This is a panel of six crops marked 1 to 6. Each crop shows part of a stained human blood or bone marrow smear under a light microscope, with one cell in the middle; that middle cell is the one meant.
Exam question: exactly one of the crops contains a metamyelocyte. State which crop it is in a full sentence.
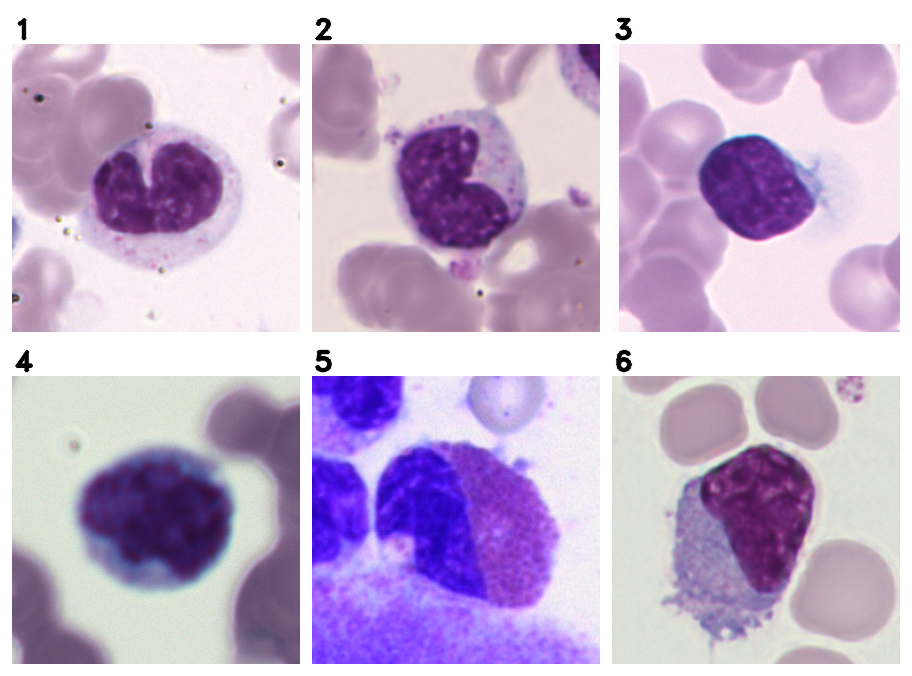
The one crop that shows a metamyelocyte is crop 2.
